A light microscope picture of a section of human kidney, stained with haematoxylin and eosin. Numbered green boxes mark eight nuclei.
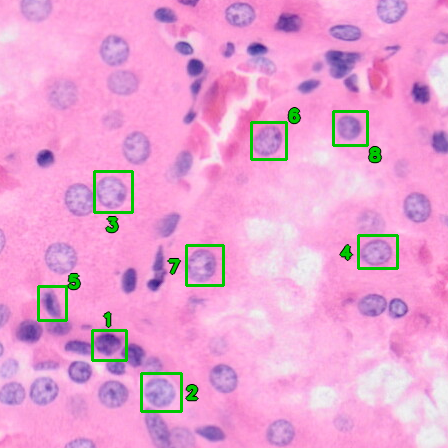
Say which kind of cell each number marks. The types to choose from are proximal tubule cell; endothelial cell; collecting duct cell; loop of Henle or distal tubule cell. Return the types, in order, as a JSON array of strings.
["collecting duct cell", "collecting duct cell", "proximal tubule cell", "proximal tubule cell", "endothelial cell", "proximal tubule cell", "proximal tubule cell", "proximal tubule cell"]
